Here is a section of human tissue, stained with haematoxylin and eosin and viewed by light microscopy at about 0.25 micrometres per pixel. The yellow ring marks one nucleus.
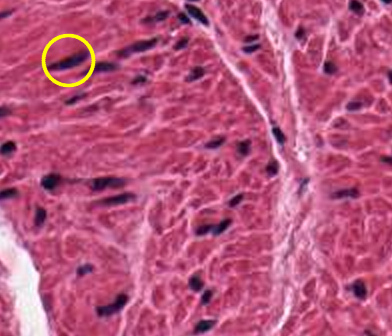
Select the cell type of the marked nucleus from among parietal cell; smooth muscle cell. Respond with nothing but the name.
smooth muscle cell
